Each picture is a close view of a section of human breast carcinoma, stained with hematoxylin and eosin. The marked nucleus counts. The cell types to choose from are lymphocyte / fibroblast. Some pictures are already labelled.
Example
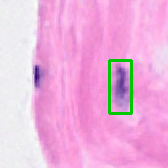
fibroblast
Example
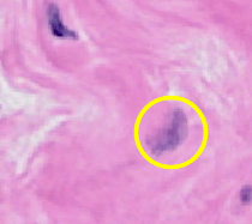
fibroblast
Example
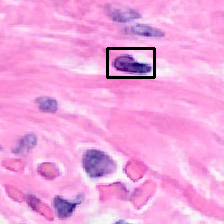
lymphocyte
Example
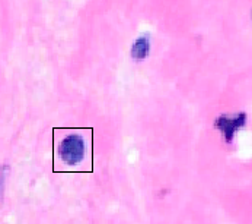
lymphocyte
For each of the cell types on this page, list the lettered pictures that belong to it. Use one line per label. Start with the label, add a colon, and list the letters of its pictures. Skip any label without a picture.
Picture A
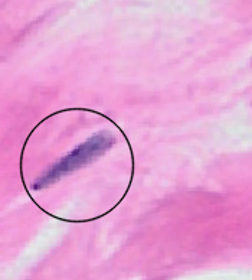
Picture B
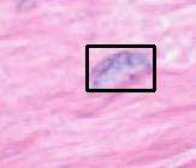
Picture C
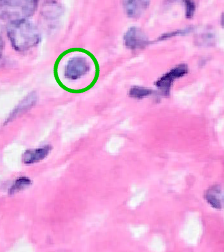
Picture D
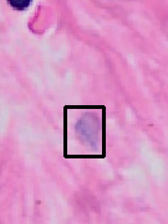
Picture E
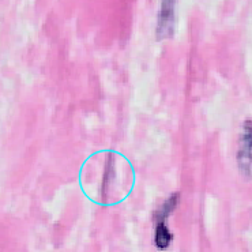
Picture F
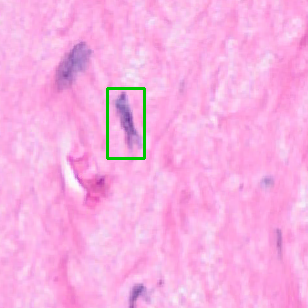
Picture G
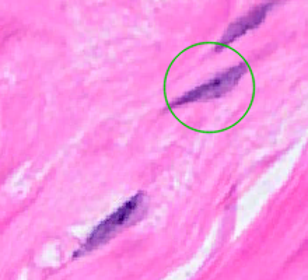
lymphocyte: C
fibroblast: A, B, D, E, F, G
